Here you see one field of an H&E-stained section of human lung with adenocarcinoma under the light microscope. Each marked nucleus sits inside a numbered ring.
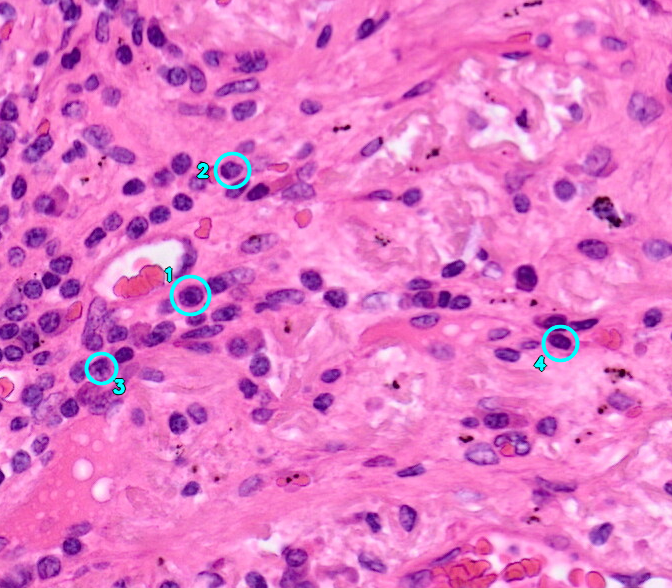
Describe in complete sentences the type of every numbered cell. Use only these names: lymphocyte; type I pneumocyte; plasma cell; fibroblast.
Cell 1 is a lymphocyte, cell 2 is a lymphocyte, cell 3 is a lymphocyte and cell 4 is a plasma cell.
